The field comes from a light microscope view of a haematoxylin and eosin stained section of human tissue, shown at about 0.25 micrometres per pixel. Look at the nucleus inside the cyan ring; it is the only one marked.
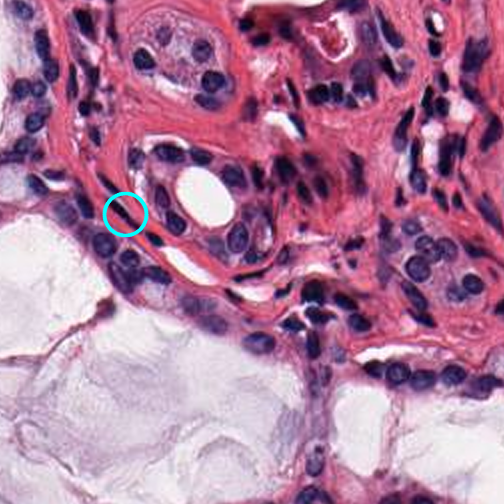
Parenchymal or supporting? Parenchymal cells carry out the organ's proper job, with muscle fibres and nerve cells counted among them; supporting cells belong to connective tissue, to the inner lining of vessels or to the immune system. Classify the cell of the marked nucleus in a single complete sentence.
The marked nucleus belongs to a cell, and that cell is a supporting cell.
